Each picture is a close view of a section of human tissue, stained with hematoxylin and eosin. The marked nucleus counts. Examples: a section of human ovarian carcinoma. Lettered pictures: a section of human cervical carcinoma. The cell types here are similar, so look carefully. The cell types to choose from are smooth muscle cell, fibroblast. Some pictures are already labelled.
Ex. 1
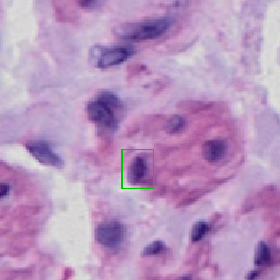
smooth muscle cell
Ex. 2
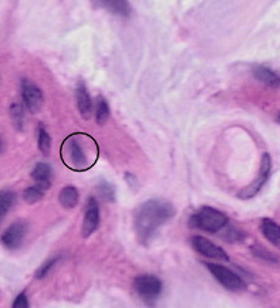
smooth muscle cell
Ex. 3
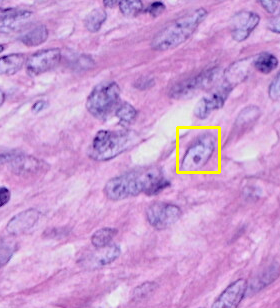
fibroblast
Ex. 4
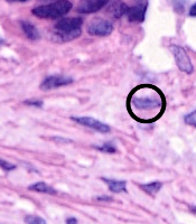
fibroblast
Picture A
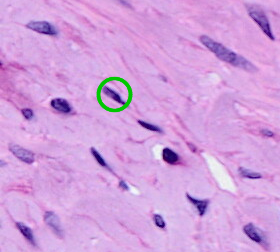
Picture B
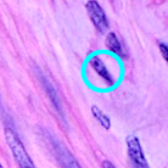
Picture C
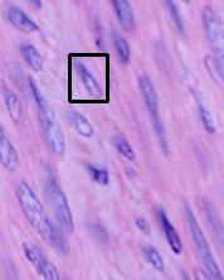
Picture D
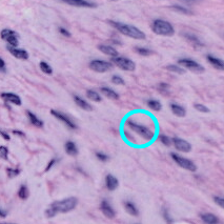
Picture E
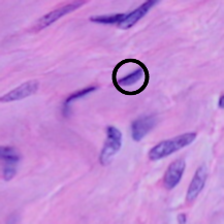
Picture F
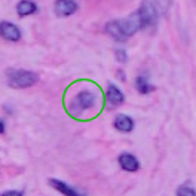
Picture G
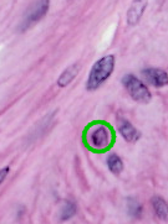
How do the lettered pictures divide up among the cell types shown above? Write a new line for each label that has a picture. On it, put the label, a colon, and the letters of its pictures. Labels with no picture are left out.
smooth muscle cell: B, C, D, F, G
fibroblast: A, E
